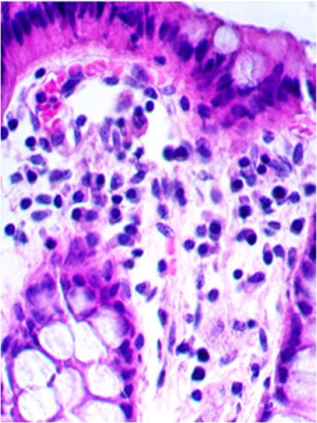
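This high-magnification view of colonic mucosa shows the lamina propria beneath the surface epithelium at the top of the space between crypts. The surface is lined by columnar epithelial cells with dark elongated nuclei, and goblet cells with pale mucin vacuoles line the crypts at the sides. Just beneath the surface, a small capillary contains red blood cells. The lamina propria is filled with cells with small round dark nuclei in a pale stroma, with hardly any inflammatory change.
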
